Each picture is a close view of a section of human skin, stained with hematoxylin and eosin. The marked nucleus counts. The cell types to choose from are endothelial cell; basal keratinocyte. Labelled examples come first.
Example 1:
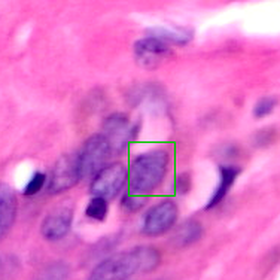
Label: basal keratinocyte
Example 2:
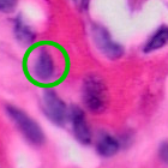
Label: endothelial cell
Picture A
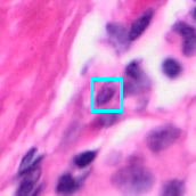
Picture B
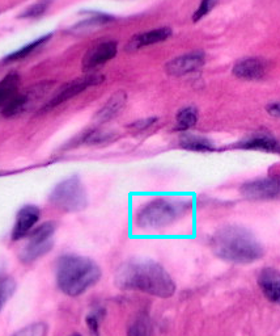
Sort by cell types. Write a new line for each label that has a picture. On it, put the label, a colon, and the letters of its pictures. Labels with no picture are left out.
endothelial cell: A, B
